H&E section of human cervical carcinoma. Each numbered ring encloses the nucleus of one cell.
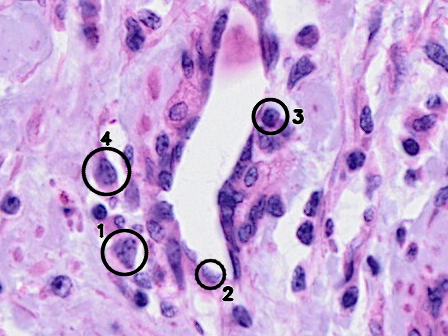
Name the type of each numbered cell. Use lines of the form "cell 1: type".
cell 1: macrophage or monocyte
cell 2: endothelial cell
cell 3: lymphocyte
cell 4: macrophage or monocyte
